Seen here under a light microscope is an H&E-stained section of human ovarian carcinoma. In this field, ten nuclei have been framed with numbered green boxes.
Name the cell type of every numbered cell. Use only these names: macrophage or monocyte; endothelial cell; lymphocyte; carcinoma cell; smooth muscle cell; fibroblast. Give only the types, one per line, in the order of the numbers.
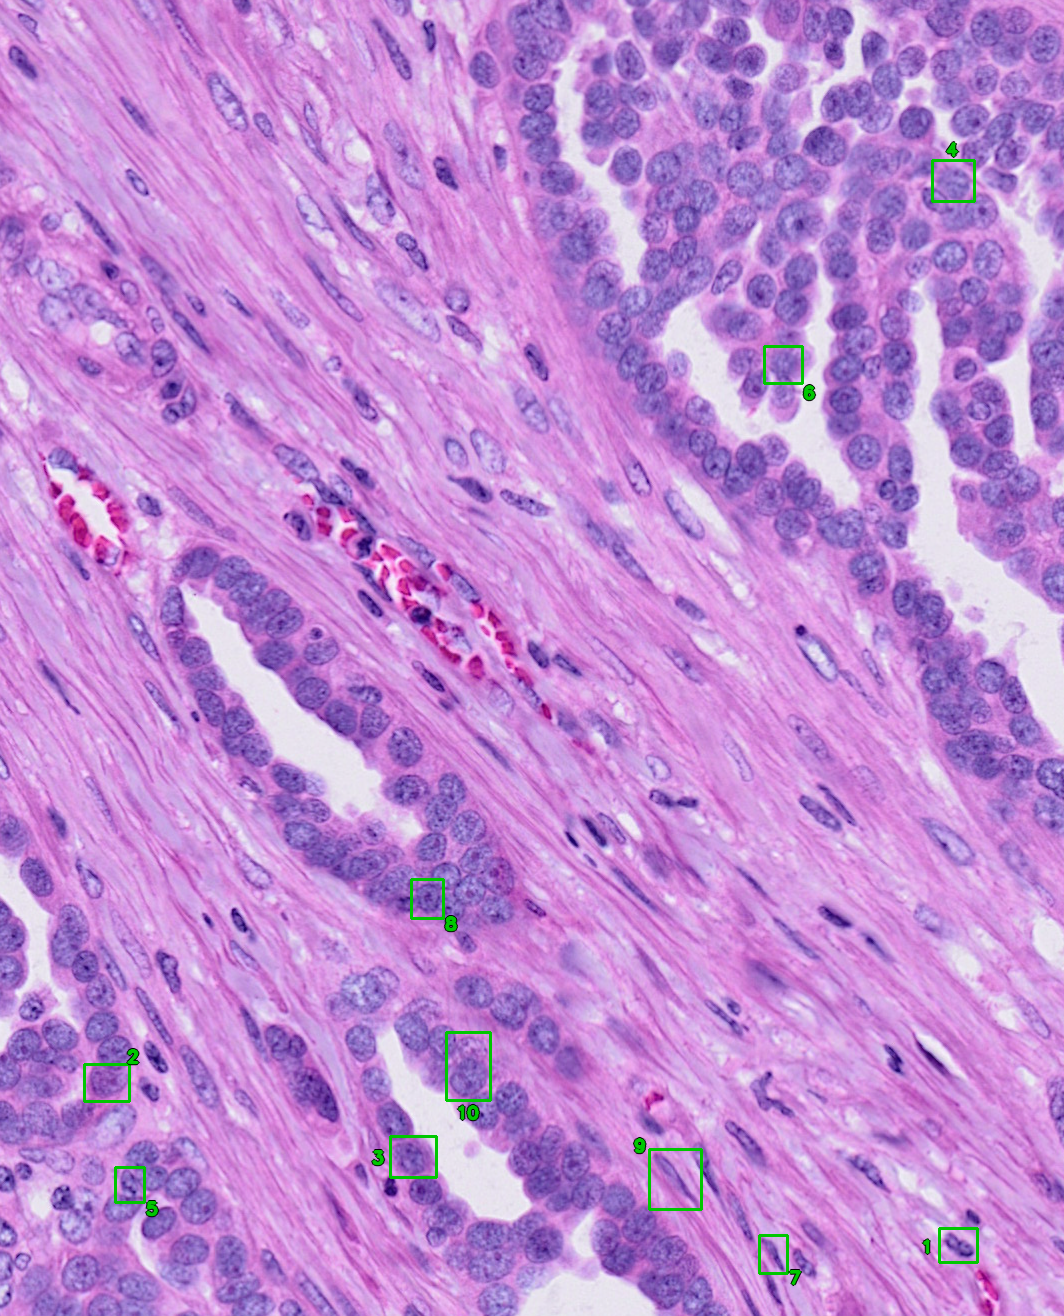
macrophage or monocyte
carcinoma cell
carcinoma cell
carcinoma cell
macrophage or monocyte
carcinoma cell
fibroblast
carcinoma cell
fibroblast
carcinoma cell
